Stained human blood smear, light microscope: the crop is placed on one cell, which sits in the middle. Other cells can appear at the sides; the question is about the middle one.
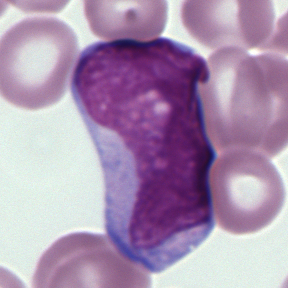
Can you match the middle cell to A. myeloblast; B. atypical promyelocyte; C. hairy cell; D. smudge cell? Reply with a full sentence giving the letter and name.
What option A states is correct, the central cell being a myeloblast.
